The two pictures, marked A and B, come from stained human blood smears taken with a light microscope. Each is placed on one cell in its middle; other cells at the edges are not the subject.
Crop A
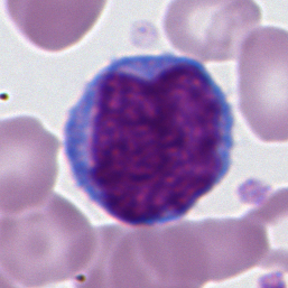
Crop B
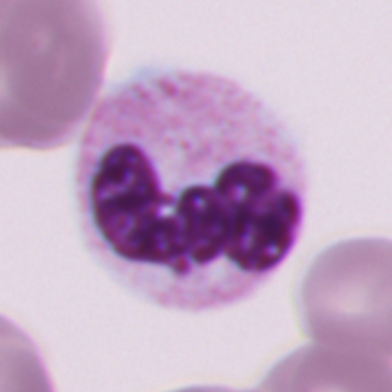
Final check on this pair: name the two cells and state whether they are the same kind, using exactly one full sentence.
No, crop A is where a monocyte is, and crop B is where a segmented neutrophil is.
